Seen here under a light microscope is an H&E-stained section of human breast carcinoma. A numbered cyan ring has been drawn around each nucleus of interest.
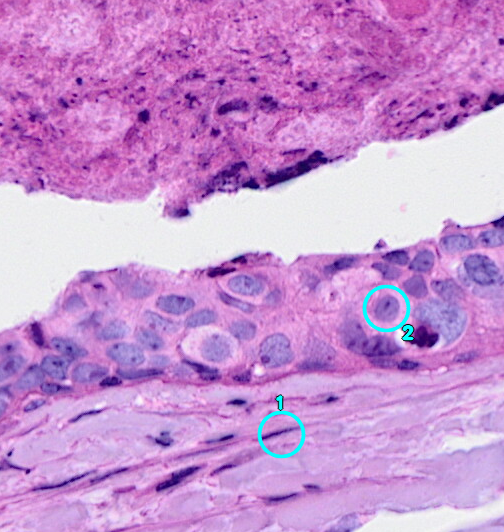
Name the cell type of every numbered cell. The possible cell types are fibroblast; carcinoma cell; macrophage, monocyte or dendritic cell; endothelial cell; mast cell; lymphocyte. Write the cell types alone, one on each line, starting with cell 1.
fibroblast
carcinoma cell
